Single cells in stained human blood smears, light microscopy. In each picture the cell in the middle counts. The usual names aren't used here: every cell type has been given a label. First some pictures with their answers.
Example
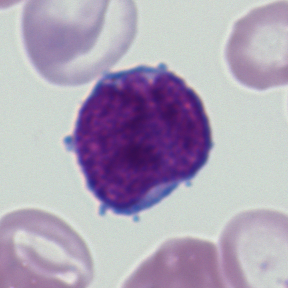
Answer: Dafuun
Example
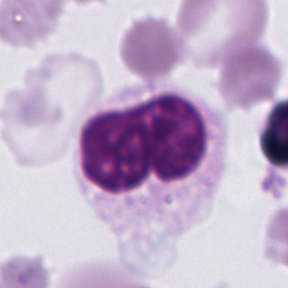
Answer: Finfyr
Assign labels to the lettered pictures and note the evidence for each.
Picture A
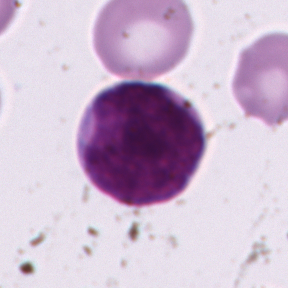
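Label: Dafuun. The nucleus fills almost the whole cell, leaving only a very scant rim of cytoplasm.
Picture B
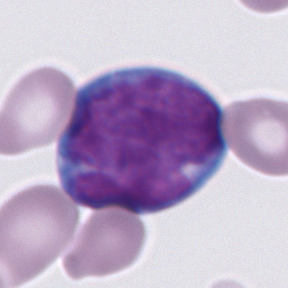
Label: Dafuun. The cytoplasm forms only a thin rim around the nucleus.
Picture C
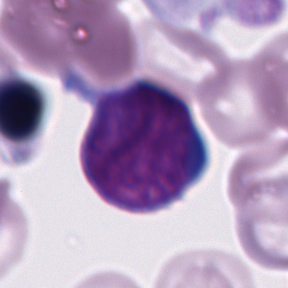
Label: Dafuun. The thin cytoplasmic rim stains deep blue.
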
